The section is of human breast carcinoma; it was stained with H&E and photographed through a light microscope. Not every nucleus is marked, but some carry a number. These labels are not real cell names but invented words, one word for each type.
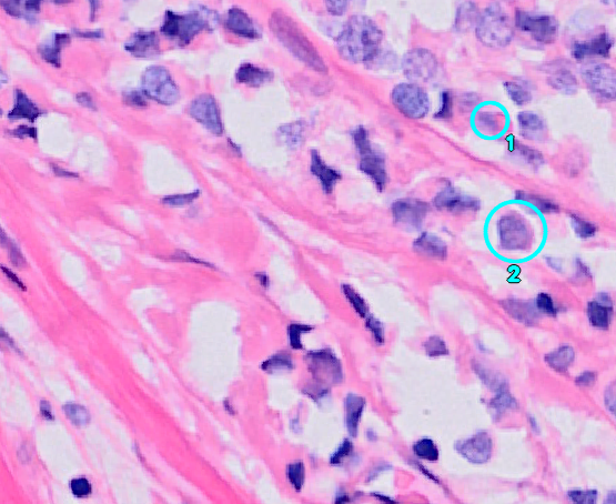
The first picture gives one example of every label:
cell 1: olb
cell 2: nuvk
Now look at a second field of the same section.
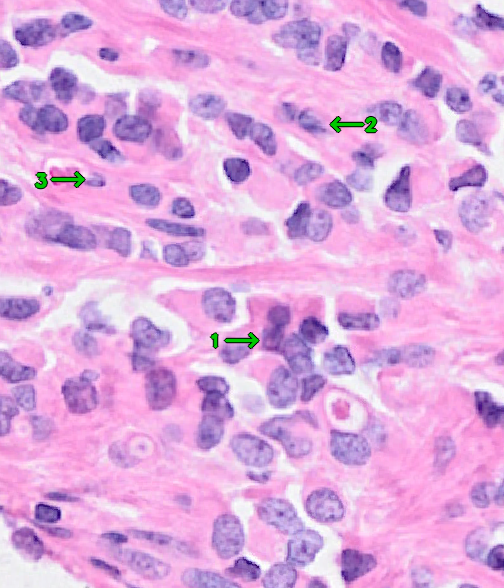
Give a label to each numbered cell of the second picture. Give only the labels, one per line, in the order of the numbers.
nuvk
olb
olb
